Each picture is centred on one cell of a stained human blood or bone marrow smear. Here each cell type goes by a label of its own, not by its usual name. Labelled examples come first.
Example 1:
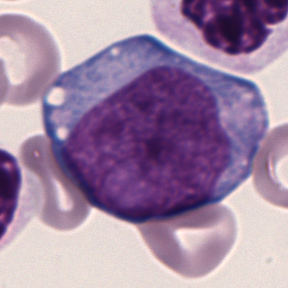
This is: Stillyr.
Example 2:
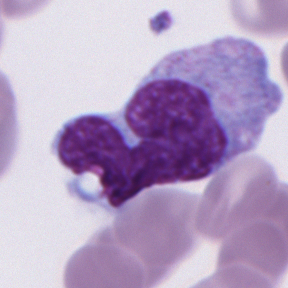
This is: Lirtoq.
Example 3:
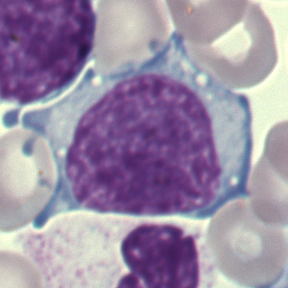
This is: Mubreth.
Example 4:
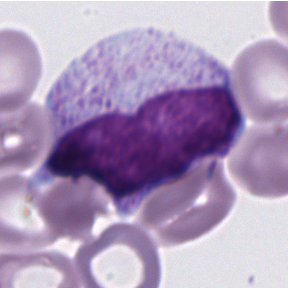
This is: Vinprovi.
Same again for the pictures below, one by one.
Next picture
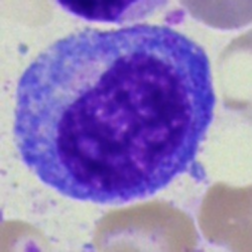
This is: Stillyr.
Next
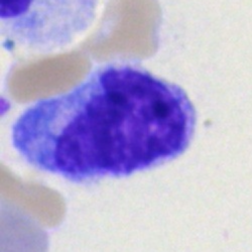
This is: Lirtoq.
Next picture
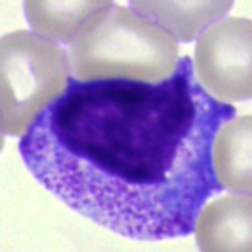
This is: Stillyr.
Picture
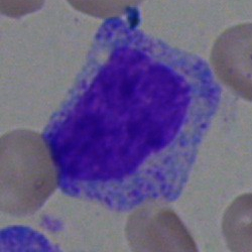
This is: Vinprovi.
